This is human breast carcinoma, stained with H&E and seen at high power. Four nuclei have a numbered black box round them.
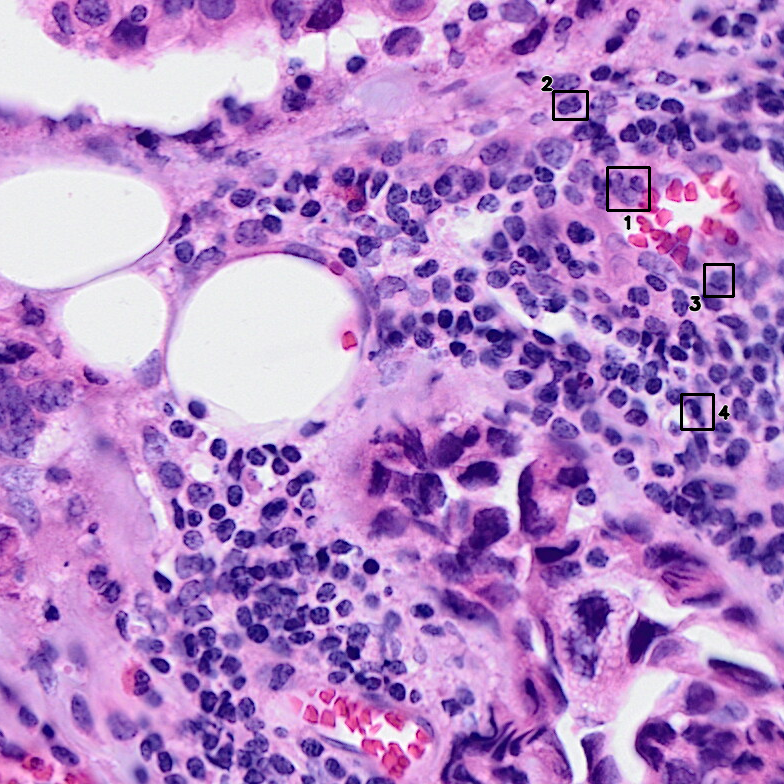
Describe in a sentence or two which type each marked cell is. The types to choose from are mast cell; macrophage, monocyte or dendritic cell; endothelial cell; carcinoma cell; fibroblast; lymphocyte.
Cell 1 is an endothelial cell. Cells 2, 3 and 4 are lymphocytes.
